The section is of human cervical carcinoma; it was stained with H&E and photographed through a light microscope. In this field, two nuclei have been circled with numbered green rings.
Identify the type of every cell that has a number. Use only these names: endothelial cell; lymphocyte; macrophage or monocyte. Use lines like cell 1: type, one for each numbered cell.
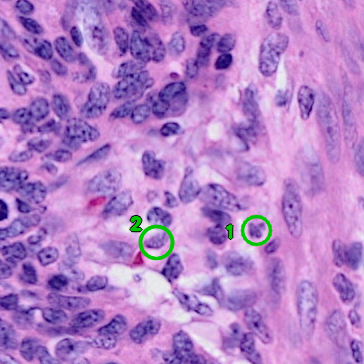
cell 1: lymphocyte
cell 2: endothelial cell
